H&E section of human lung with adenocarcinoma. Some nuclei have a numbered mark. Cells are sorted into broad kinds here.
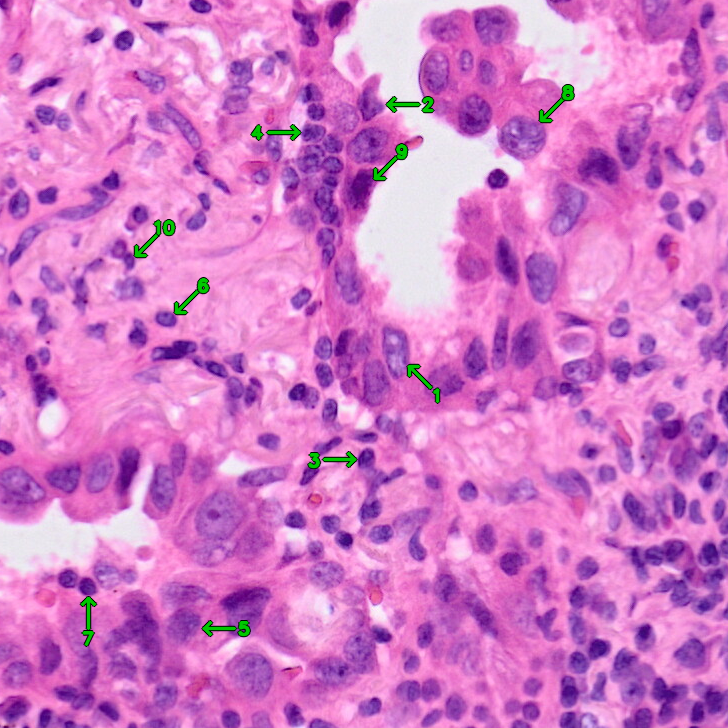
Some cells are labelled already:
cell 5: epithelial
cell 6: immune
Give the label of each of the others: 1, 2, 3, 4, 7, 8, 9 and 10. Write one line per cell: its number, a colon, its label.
1: epithelial
2: epithelial
3: immune
4: immune
7: immune
8: epithelial
9: epithelial
10: immune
